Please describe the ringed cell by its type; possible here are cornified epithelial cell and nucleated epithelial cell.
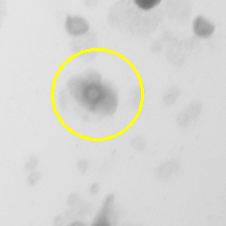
The yellow ring marks a nucleated epithelial cell.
